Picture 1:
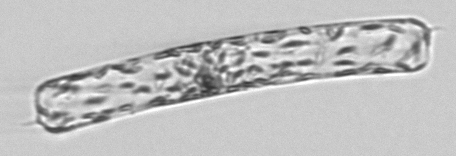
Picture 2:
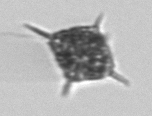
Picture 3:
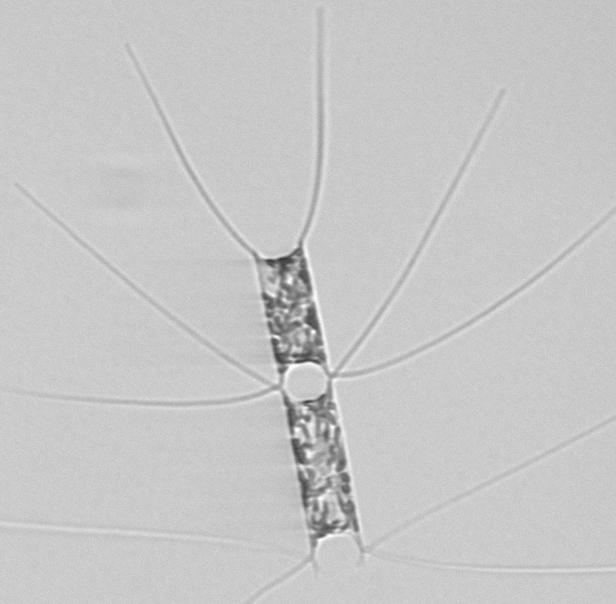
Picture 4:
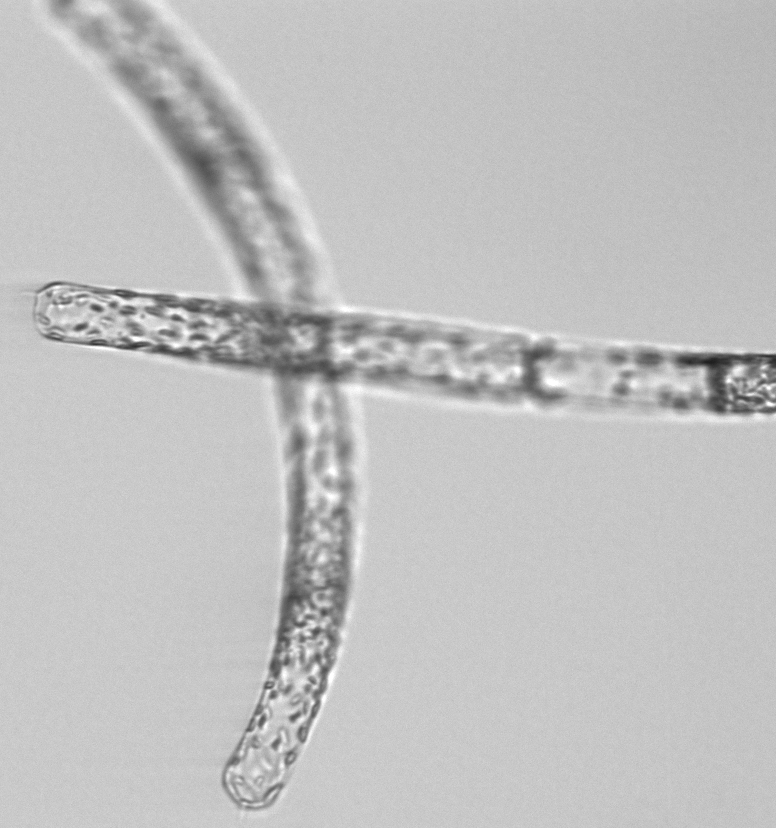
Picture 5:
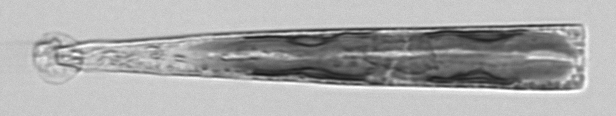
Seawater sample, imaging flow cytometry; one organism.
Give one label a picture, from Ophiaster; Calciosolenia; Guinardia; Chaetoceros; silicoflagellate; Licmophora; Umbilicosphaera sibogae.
1: Guinardia
2: silicoflagellate
3: Chaetoceros
4: Guinardia
5: Licmophora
